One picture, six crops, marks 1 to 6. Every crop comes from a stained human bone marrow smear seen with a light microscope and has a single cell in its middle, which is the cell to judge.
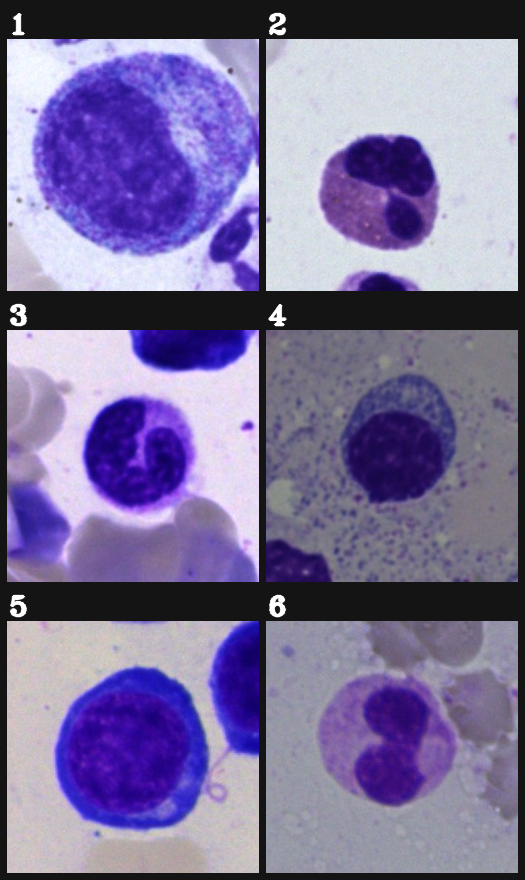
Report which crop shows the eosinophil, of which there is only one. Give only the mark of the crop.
2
